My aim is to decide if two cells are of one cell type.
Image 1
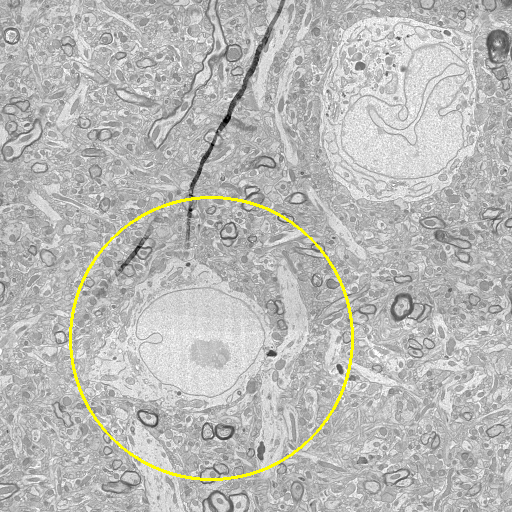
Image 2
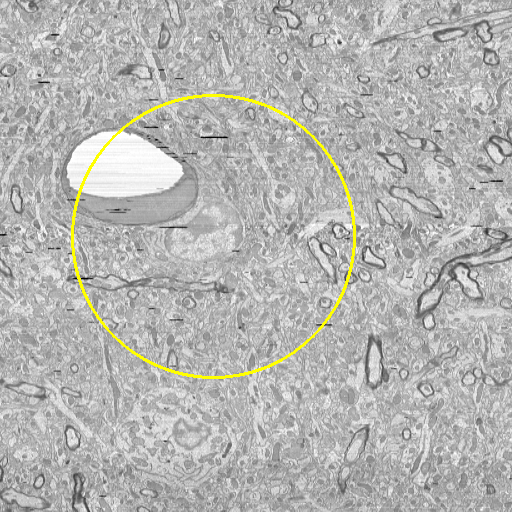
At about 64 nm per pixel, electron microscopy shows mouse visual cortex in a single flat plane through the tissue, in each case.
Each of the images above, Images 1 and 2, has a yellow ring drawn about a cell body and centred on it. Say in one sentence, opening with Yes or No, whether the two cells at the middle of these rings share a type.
No, in Images 1 and 2 the cells at the middle of the rings fall into two types.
